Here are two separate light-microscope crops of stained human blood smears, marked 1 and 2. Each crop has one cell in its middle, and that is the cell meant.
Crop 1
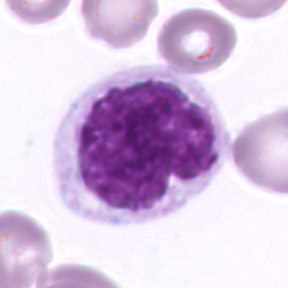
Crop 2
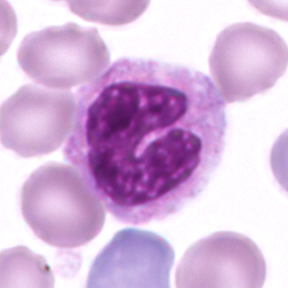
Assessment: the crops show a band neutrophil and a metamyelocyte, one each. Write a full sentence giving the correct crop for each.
Crop 1 is a metamyelocyte, and, separately, crop 2 is a band neutrophil.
